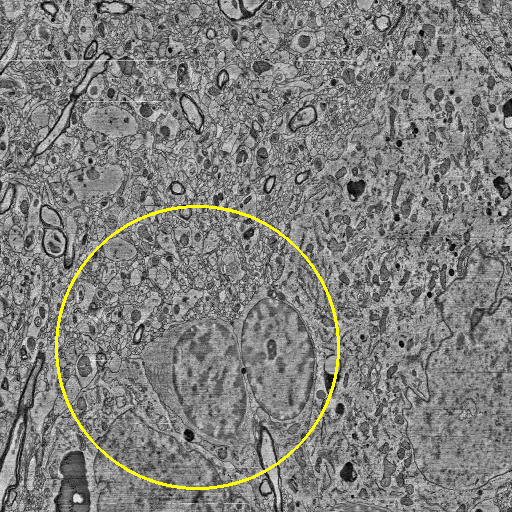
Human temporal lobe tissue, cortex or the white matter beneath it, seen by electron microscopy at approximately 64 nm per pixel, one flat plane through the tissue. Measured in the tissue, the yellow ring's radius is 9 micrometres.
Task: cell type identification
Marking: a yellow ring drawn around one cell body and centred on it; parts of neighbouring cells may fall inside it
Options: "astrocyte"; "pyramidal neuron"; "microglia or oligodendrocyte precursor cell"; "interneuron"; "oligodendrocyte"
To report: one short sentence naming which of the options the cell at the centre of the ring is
The cell at the centre of the ring is an oligodendrocyte.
